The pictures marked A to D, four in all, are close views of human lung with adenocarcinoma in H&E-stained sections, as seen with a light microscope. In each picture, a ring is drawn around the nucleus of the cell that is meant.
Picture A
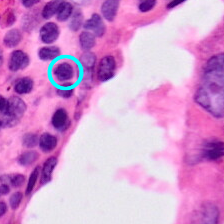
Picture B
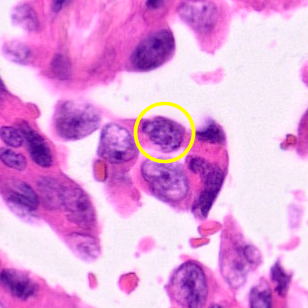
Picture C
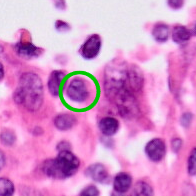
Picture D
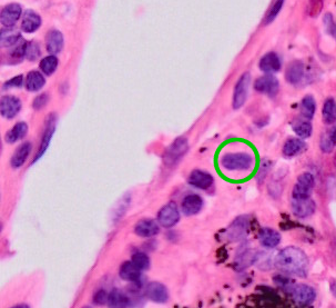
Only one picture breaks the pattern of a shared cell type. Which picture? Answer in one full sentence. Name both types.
Picture B differs, because its cell is a carcinoma cell and the rest are lymphocytes.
